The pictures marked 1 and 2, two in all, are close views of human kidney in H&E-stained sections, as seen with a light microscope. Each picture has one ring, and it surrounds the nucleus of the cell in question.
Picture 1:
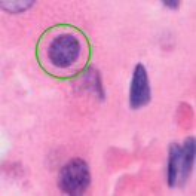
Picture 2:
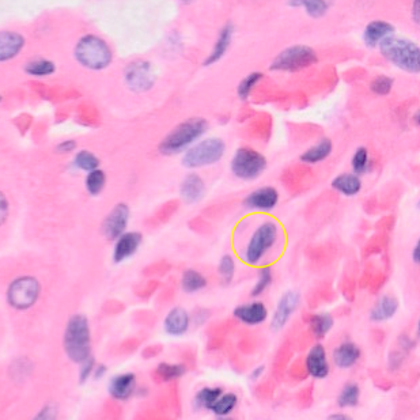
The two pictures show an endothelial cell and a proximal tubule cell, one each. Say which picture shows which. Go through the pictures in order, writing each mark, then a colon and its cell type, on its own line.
1: proximal tubule cell
2: endothelial cell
